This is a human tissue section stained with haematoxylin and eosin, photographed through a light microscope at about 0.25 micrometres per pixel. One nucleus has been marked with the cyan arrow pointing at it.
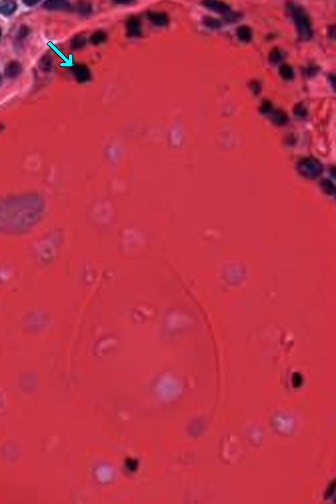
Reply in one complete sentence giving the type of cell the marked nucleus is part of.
The marked nucleus is one that belongs to a thyroid follicular cell.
